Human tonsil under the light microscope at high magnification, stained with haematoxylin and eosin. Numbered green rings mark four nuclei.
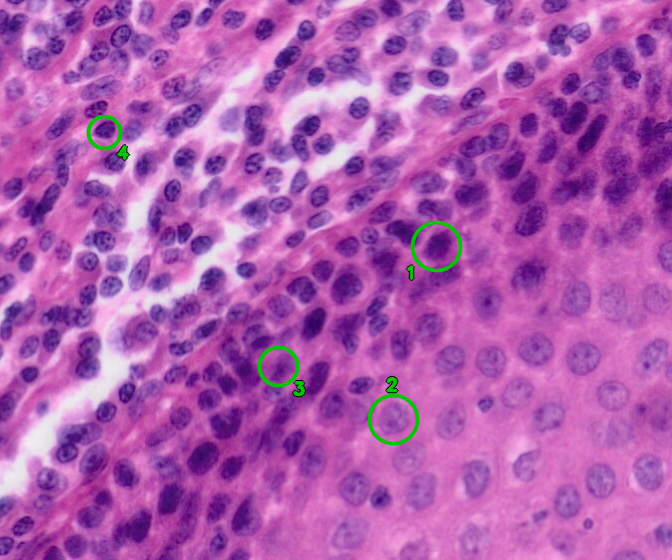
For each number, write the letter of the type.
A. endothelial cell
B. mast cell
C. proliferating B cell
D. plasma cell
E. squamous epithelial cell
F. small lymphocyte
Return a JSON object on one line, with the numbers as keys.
{"1": "E", "2": "E", "3": "E", "4": "D"}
